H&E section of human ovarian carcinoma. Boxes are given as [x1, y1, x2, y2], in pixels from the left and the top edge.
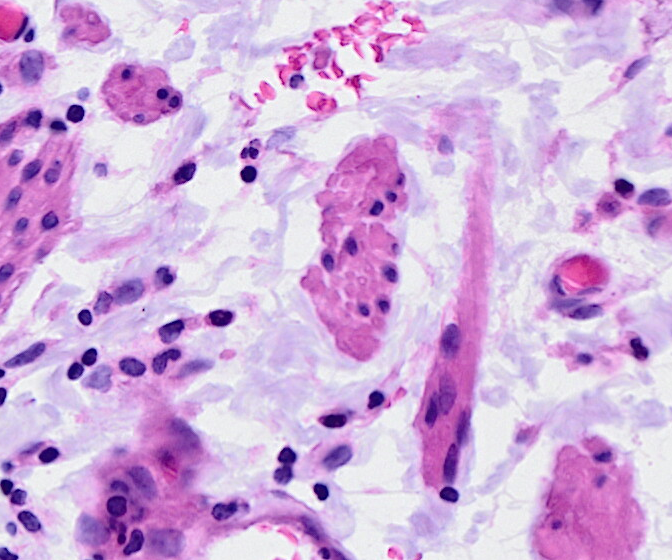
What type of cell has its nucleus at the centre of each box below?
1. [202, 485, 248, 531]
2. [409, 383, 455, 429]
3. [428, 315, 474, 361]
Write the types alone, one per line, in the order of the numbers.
lymphocyte
smooth muscle cell
smooth muscle cell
